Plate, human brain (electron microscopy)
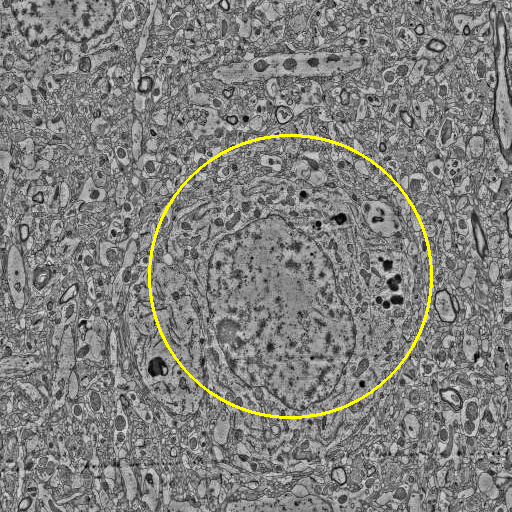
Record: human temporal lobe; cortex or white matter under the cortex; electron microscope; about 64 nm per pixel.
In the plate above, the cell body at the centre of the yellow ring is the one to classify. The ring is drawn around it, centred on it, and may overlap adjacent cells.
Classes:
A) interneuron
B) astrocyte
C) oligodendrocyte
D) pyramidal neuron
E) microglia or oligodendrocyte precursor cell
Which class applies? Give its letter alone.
A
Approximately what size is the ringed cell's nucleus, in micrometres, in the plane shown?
The ringed cell's nucleus is about 13 micrometres long and 9 micrometres wide in this plane.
